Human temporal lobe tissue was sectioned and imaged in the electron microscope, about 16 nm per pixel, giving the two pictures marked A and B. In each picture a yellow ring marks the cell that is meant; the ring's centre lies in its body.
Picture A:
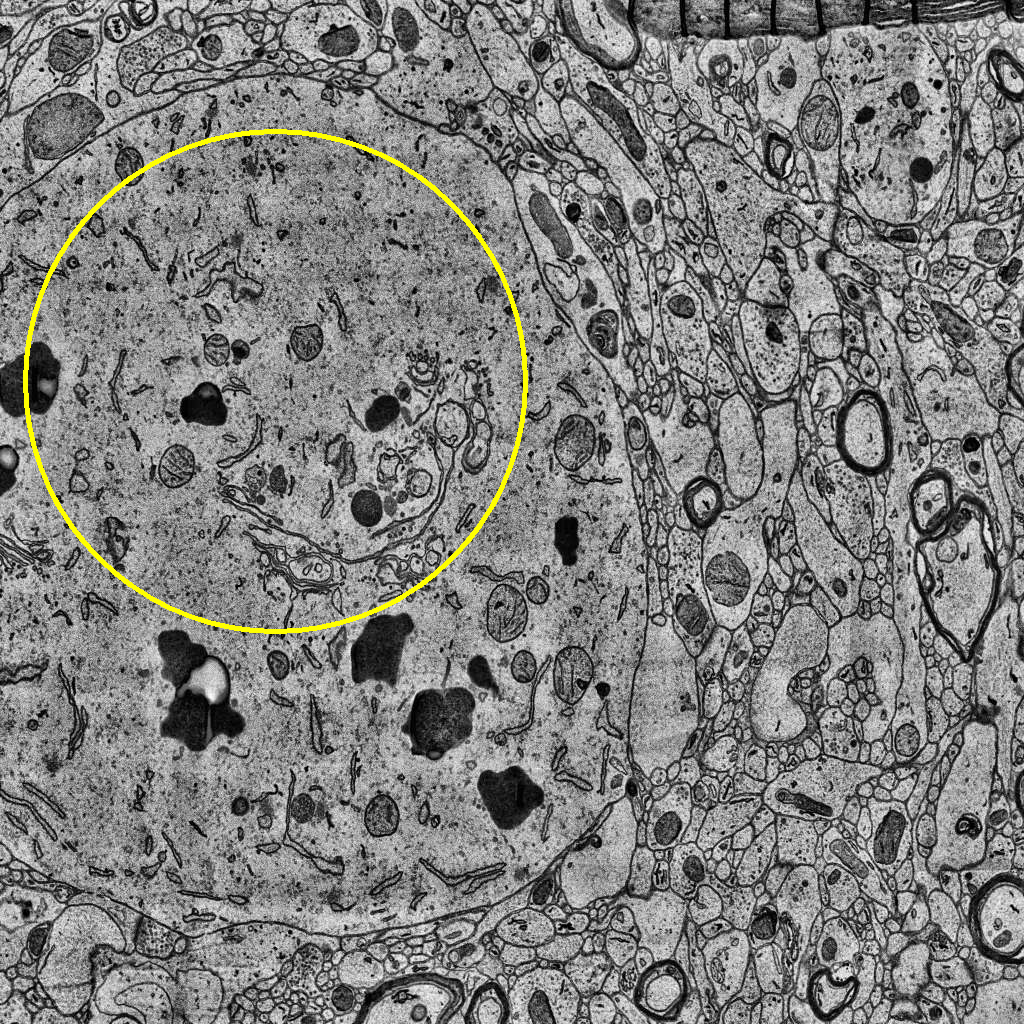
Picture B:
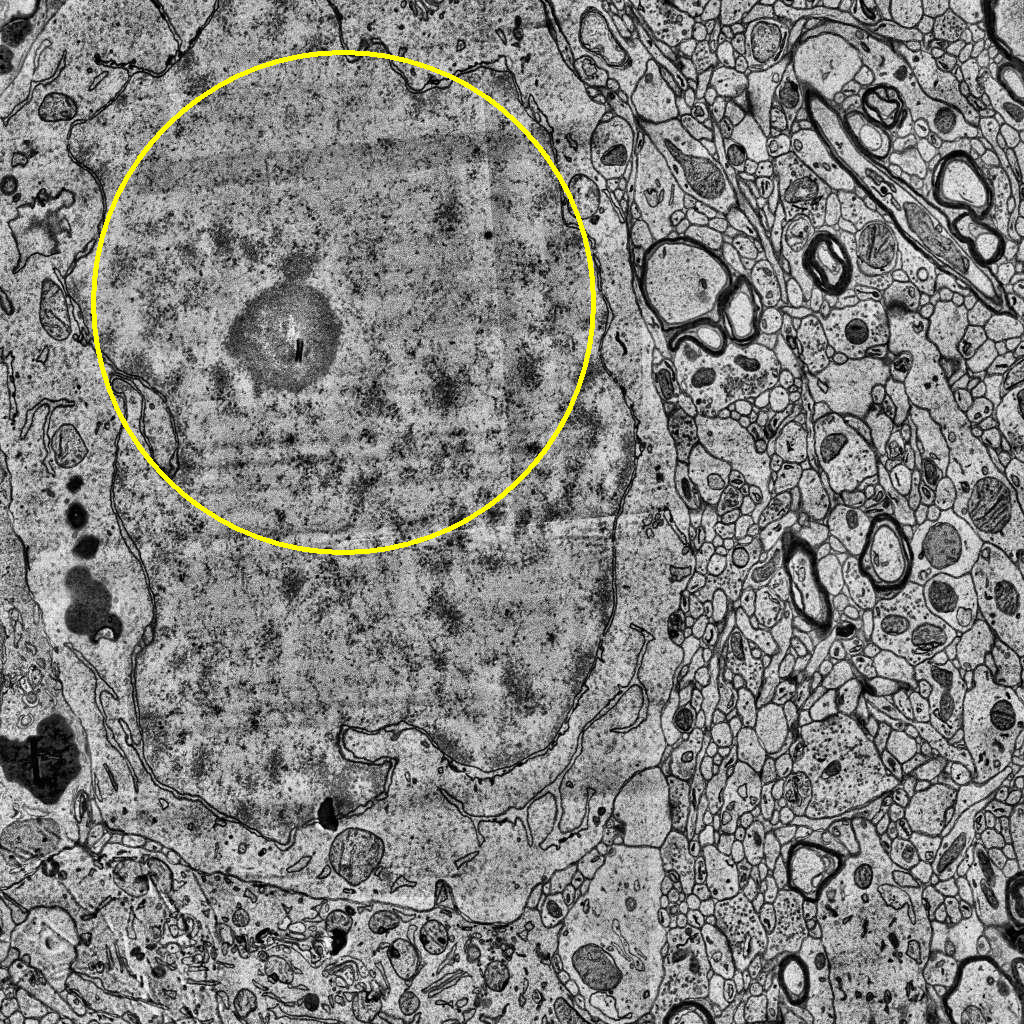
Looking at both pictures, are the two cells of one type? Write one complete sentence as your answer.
No, picture A shows a pyramidal neuron and picture B shows an interneuron.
